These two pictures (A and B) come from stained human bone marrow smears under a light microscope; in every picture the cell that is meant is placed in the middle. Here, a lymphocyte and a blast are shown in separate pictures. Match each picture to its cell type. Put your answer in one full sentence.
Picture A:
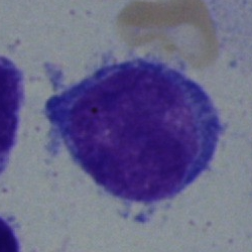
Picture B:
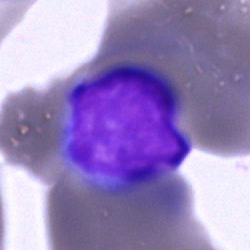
The cell in picture A is a blast, and the one in picture B is a lymphocyte.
